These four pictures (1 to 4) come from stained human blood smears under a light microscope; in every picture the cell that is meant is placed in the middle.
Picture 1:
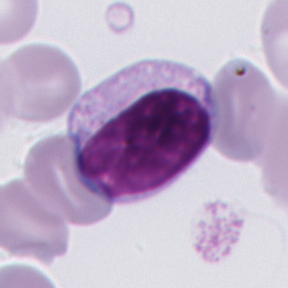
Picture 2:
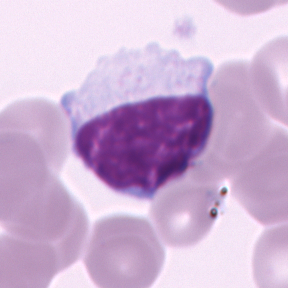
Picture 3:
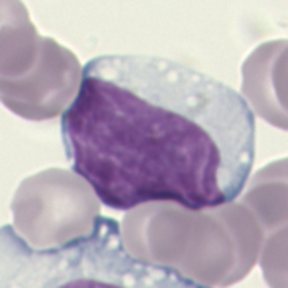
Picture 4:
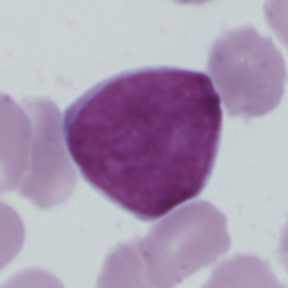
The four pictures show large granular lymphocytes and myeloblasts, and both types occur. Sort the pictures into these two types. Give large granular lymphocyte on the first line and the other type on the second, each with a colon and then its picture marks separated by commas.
large granular lymphocyte: 1, 2
myeloblast: 3, 4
